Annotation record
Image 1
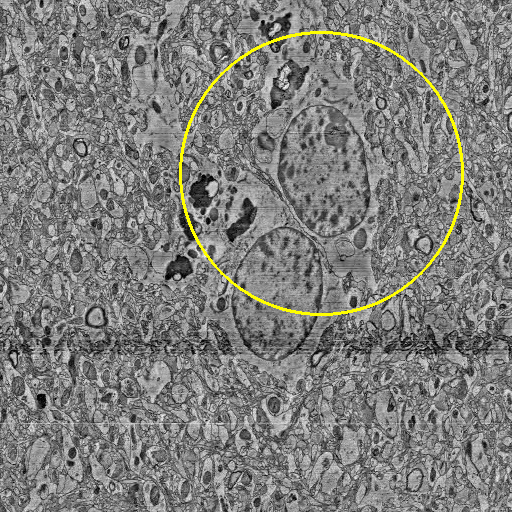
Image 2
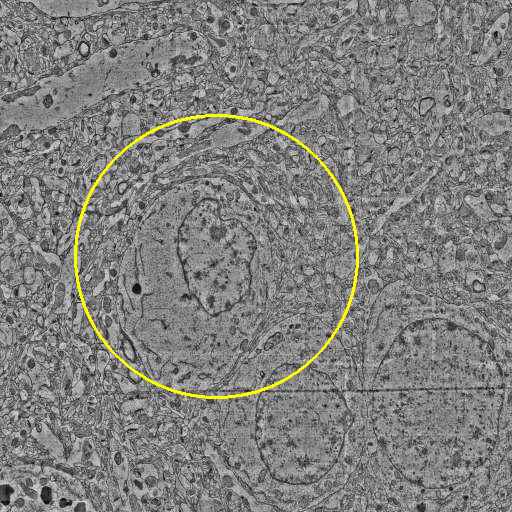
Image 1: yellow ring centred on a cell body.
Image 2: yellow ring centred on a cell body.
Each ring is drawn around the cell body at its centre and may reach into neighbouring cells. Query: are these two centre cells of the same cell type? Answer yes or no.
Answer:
no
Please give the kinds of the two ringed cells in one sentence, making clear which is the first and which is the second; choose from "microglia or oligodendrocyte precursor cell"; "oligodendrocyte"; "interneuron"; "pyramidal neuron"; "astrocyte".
In the second picture the ringed cell is a pyramidal neuron; in the first it is an astrocyte.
